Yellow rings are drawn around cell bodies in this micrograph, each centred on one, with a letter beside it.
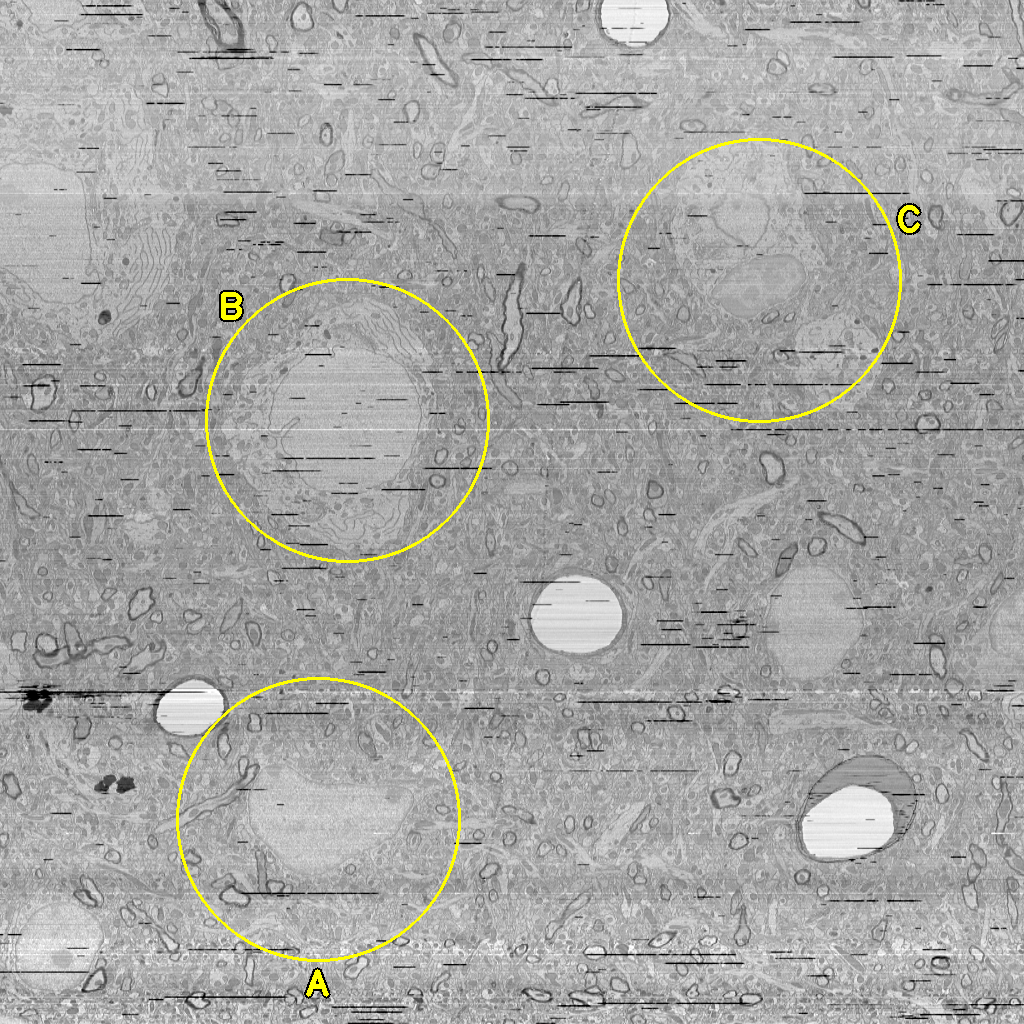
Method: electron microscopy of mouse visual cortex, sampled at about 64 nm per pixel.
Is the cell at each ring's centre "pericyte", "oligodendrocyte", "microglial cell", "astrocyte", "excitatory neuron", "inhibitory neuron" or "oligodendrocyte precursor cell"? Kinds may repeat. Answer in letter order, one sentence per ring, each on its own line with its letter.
In ring A, the cell at the centre is an astrocyte.
In ring B, the cell at the centre is an excitatory neuron.
In ring C, the cell at the centre is a microglial cell.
